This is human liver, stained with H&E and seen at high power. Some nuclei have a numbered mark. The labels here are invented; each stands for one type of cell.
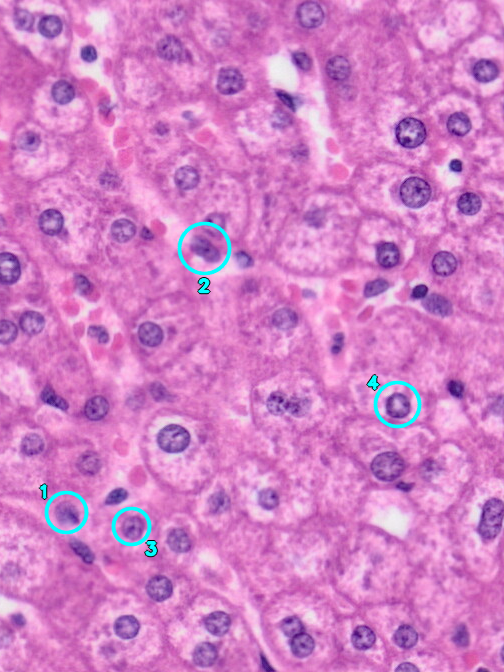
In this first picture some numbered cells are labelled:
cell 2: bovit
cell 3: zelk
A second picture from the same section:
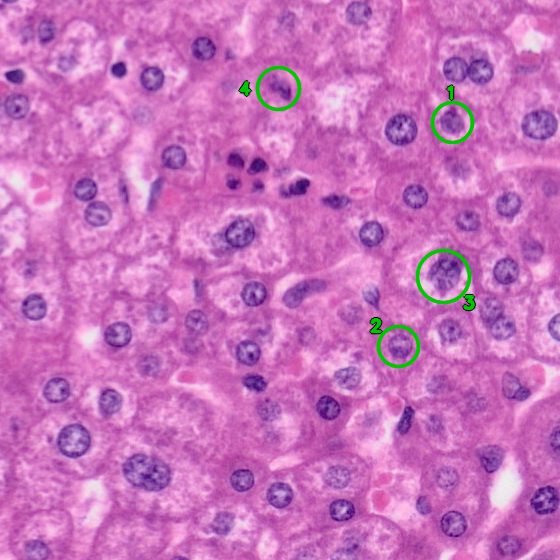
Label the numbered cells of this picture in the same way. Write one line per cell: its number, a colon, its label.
1: zelk
2: zelk
3: zelk
4: bovit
